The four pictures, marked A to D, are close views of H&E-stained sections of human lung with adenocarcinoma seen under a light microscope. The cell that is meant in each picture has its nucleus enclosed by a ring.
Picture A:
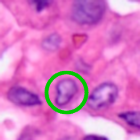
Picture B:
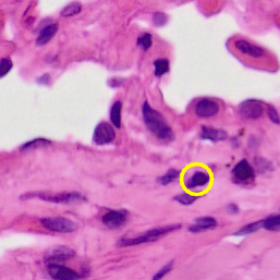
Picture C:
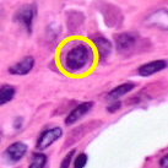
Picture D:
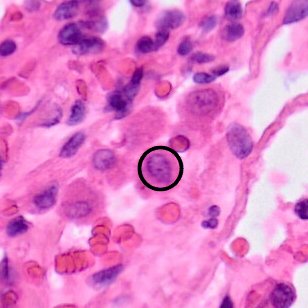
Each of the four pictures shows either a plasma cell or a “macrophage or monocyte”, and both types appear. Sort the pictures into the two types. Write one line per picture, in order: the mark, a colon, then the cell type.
A: macrophage or monocyte
B: plasma cell
C: plasma cell
D: macrophage or monocyte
